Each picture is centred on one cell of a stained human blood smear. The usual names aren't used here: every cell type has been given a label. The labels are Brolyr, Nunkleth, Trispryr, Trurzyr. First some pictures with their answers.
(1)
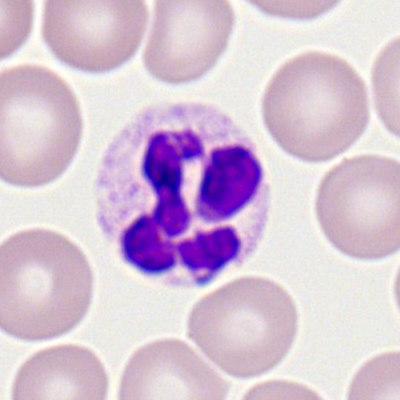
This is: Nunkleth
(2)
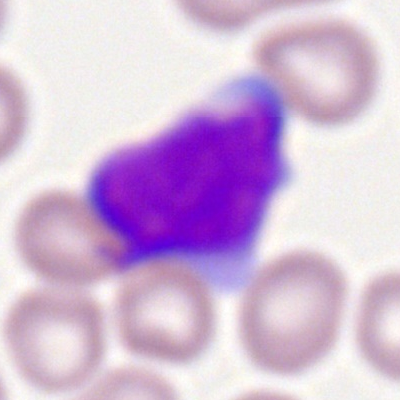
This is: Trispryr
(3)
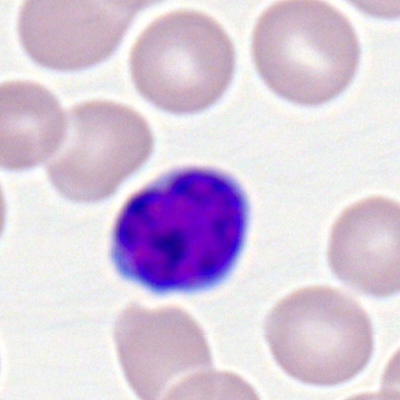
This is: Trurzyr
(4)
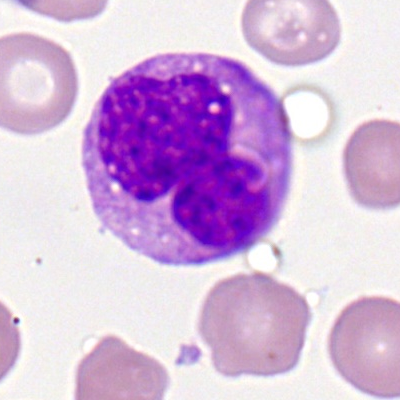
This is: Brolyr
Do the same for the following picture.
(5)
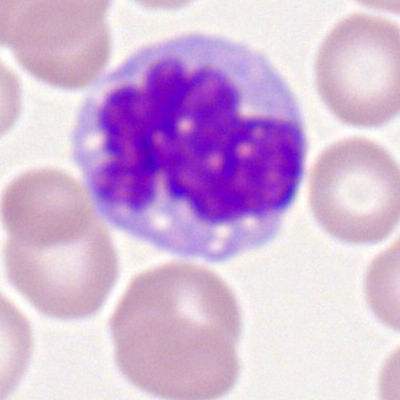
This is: Brolyr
